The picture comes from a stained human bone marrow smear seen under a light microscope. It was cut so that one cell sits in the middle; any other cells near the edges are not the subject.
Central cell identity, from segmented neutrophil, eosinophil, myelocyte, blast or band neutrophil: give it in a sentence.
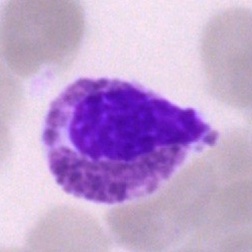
The cell under consideration, at the middle of the crop, is an eosinophil.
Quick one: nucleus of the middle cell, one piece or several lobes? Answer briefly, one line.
One compact mass makes up the whole nucleus, round, oval or kidney-shaped.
